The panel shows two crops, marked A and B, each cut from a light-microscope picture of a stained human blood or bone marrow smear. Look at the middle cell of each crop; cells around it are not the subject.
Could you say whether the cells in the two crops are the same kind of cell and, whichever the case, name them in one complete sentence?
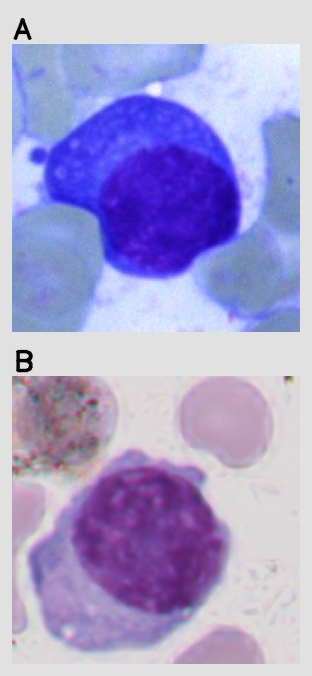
Yes, the first and the second crop both show plasma cells.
